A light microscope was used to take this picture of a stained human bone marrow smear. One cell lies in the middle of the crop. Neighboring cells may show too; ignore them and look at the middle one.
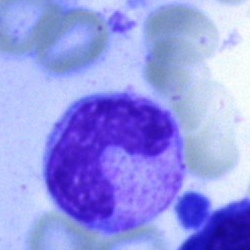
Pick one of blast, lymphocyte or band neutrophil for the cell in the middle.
band neutrophil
